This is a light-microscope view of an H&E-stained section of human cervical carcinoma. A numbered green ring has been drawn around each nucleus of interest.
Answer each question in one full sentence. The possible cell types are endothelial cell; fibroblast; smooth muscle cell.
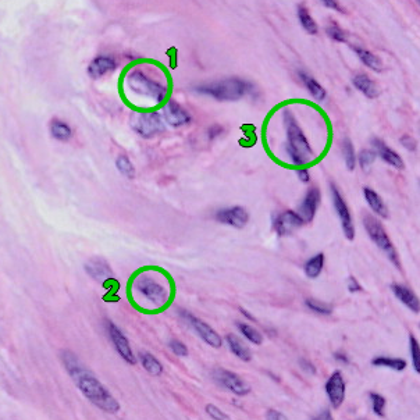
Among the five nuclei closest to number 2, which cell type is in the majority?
Smooth muscle cells account for more than half of the five nuclei nearest to number 2.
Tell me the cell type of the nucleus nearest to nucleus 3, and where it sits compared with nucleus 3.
Lying below nucleus 3, the nearest nucleus is that of a fibroblast.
